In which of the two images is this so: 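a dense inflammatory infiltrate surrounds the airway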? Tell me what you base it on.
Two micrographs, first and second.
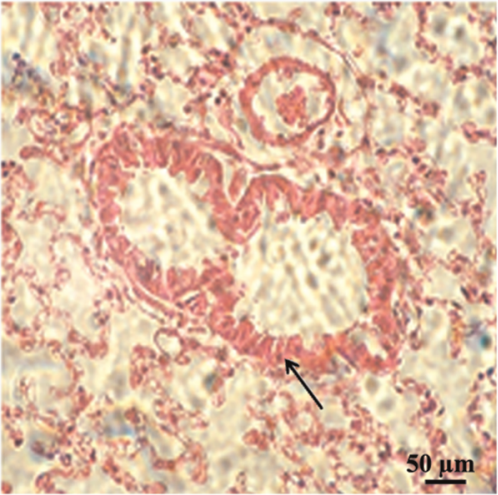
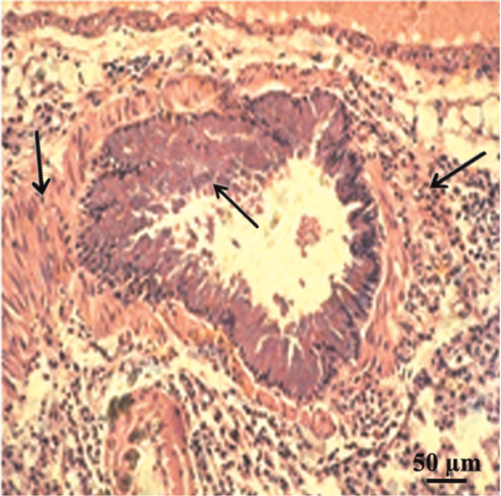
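First image: the airway lies in thin alveolar tissue with few crowded cells around it.
Conclusion: the second image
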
